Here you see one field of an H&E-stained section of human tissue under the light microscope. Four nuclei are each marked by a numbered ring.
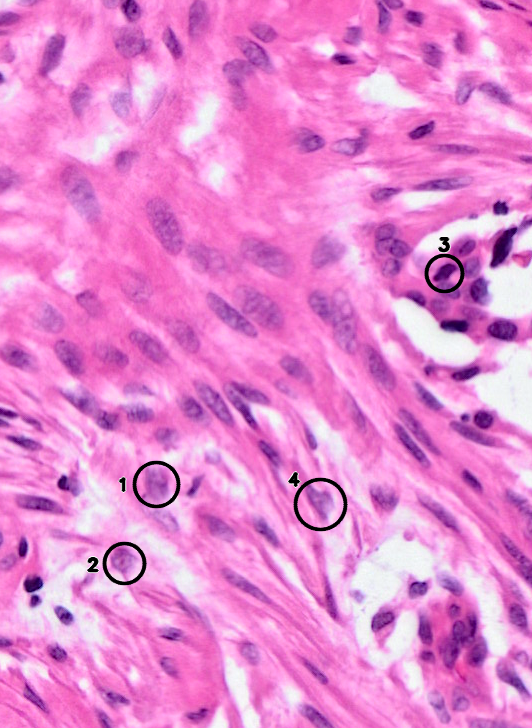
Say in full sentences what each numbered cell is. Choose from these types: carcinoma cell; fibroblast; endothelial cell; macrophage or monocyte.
Cell 1 is a fibroblast, cell 2 is a fibroblast, cell 3 is a carcinoma cell and cell 4 is a fibroblast.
